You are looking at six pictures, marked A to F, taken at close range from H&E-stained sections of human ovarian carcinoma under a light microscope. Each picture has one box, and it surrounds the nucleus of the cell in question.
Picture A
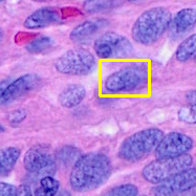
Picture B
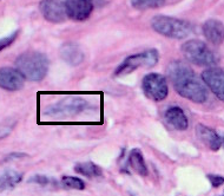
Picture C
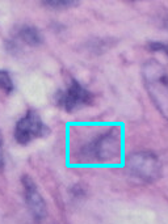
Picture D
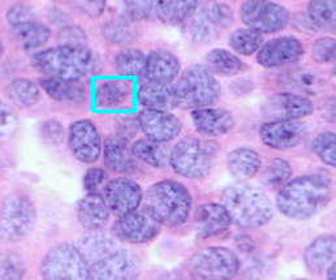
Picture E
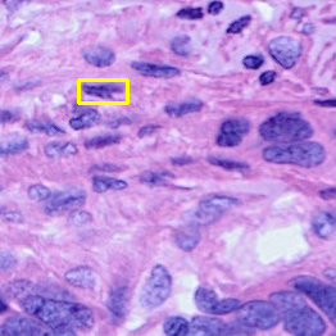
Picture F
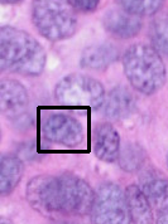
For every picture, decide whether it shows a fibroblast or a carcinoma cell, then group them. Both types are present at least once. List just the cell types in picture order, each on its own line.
carcinoma cell
fibroblast
fibroblast
carcinoma cell
fibroblast
carcinoma cell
